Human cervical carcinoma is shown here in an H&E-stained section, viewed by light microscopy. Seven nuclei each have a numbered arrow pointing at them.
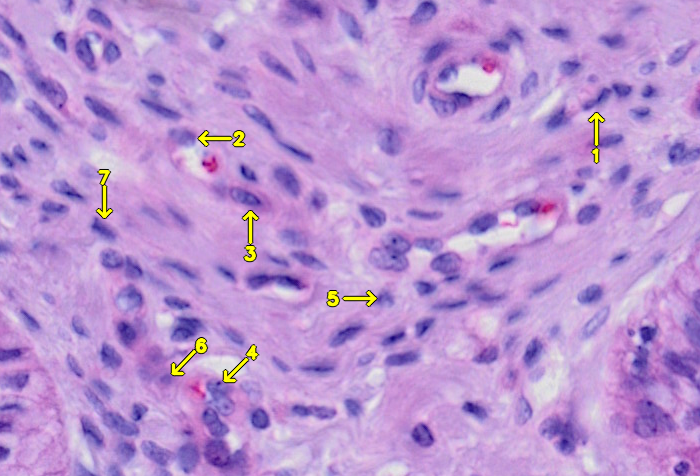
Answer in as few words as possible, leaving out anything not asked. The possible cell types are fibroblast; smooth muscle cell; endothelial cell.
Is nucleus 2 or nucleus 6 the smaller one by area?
6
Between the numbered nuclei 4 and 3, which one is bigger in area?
3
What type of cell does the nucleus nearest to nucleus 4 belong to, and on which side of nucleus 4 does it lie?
an endothelial cell; below nucleus 4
